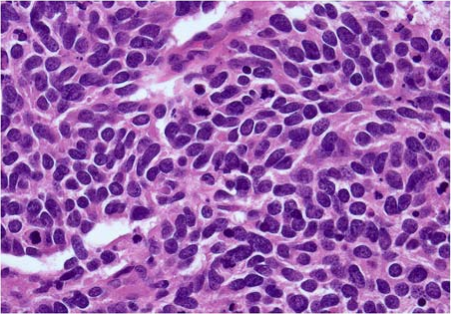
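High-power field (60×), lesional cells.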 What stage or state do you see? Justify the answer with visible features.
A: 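Small round to oval cells in sheets. Scant cytoplasm with nuclei filling most of each cell. Cell borders are hard to make out. That points to this answer: small cell morphology.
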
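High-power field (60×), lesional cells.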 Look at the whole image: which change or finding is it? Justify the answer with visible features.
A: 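Neighbouring nuclei are pressed against each other, their outlines conforming to one another. Cells are densely packed with little cytoplasm between nuclei.
Hence: nuclear moulding.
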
